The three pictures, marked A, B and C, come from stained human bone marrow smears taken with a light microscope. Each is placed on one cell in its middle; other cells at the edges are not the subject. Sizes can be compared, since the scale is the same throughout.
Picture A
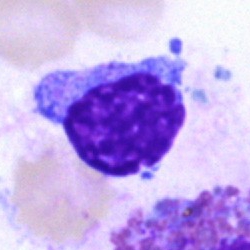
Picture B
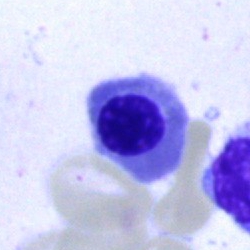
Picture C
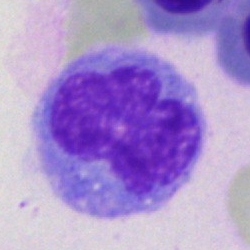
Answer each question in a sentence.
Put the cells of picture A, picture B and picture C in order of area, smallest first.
Going up, they run B, A, C.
